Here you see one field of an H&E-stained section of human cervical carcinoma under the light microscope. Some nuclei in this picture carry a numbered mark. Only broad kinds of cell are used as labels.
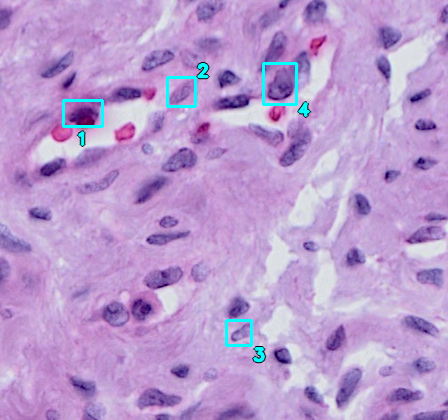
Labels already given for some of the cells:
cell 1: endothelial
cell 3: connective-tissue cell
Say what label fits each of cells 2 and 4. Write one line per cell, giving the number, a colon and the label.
2: endothelial
4: endothelial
